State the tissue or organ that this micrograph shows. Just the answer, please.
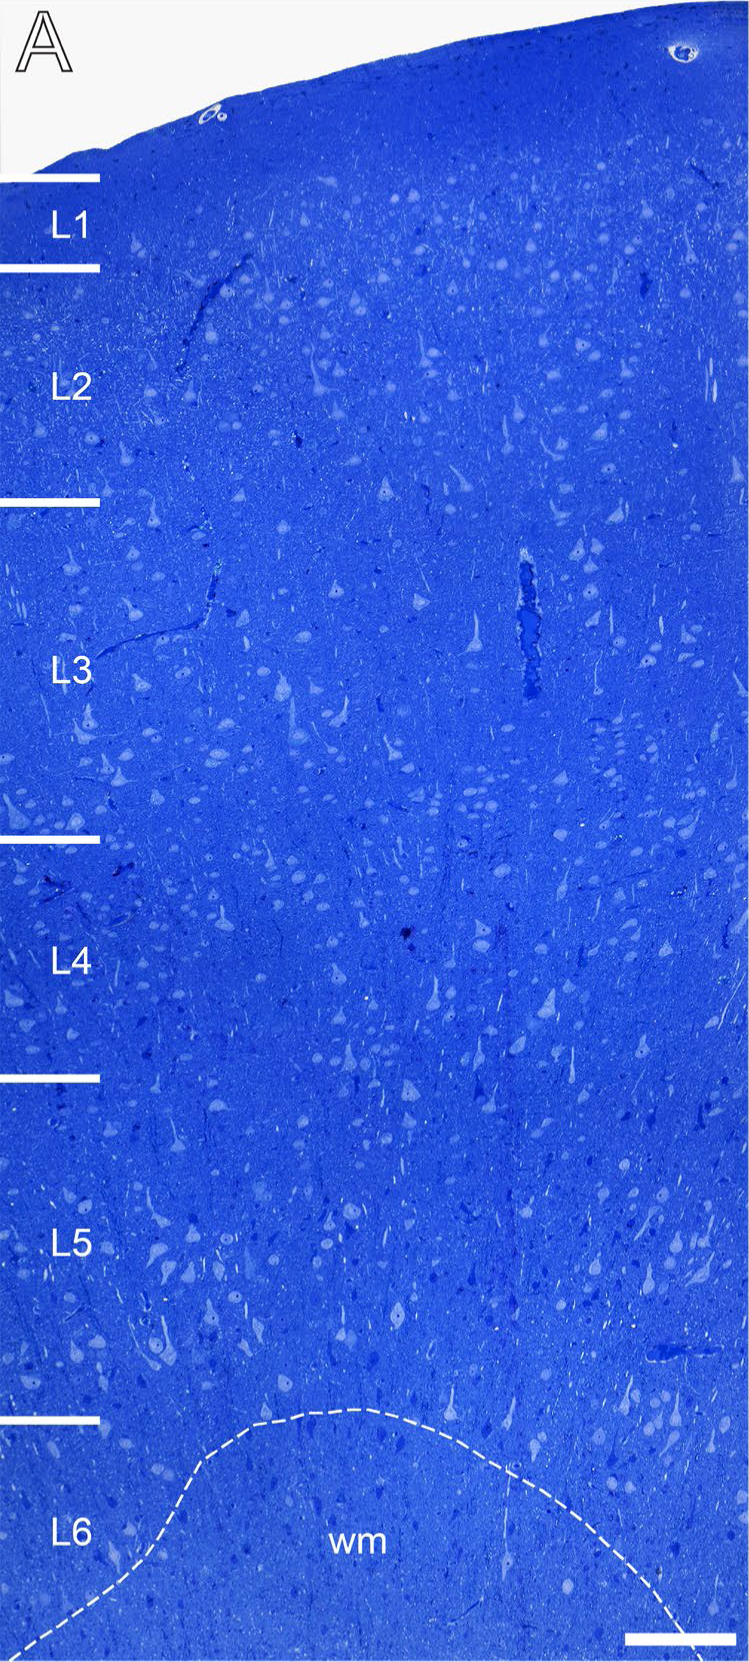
granular neocortex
